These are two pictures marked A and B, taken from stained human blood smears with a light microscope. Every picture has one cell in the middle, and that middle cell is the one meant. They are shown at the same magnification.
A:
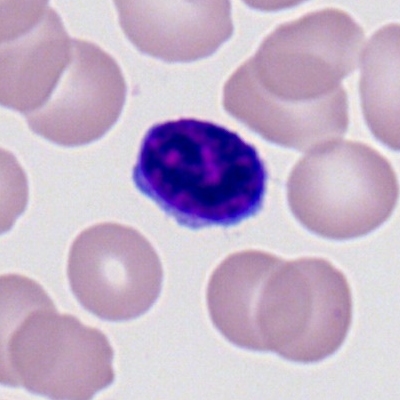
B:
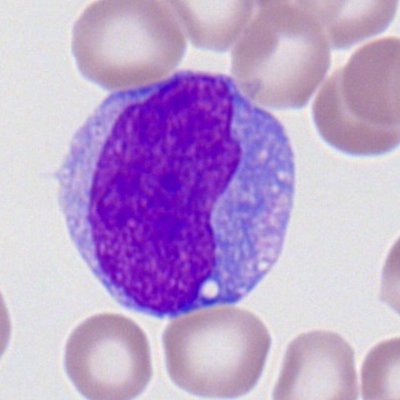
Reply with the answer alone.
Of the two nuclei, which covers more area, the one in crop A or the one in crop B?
B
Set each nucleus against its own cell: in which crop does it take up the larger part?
A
